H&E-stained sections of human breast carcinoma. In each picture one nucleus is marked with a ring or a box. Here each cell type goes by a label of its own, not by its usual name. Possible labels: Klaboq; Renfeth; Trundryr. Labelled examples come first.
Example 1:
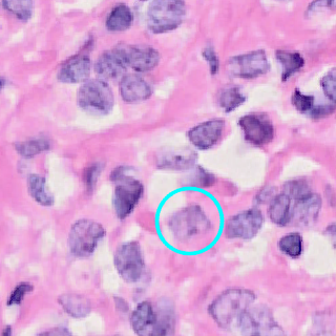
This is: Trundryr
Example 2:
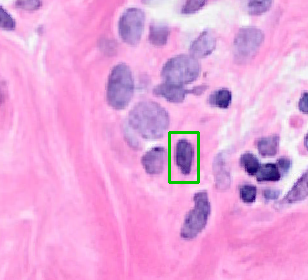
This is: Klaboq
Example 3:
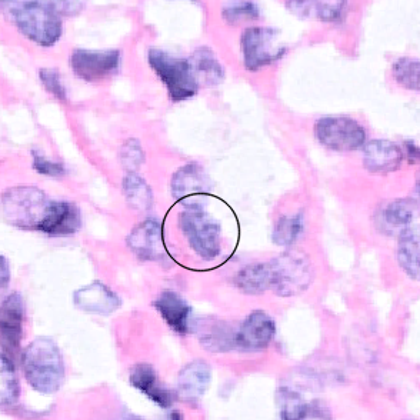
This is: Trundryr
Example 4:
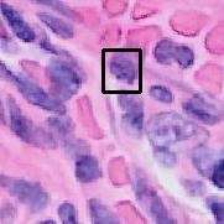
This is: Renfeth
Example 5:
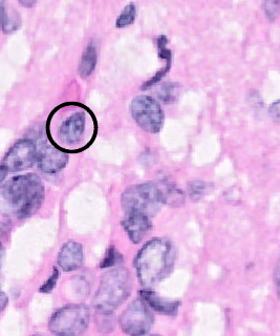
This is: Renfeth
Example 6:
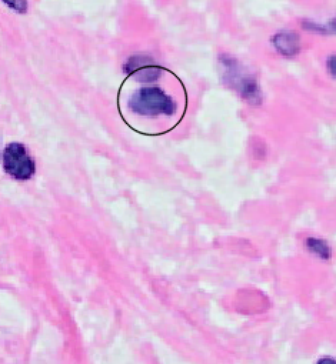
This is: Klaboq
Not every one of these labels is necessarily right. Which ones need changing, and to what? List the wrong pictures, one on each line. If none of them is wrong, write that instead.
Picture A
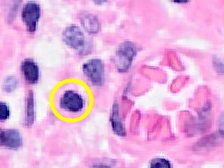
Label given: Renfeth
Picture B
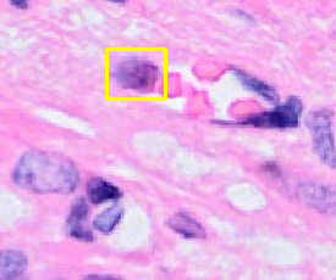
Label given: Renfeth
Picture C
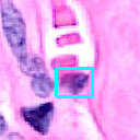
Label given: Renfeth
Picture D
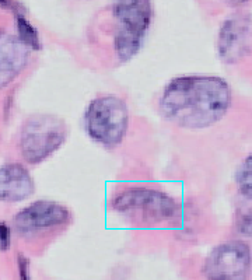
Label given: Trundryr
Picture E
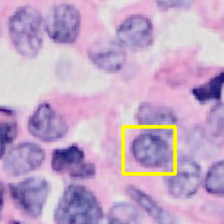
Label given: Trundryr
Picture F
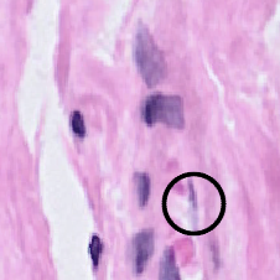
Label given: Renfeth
A is labelled Renfeth; correct label: Klaboq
